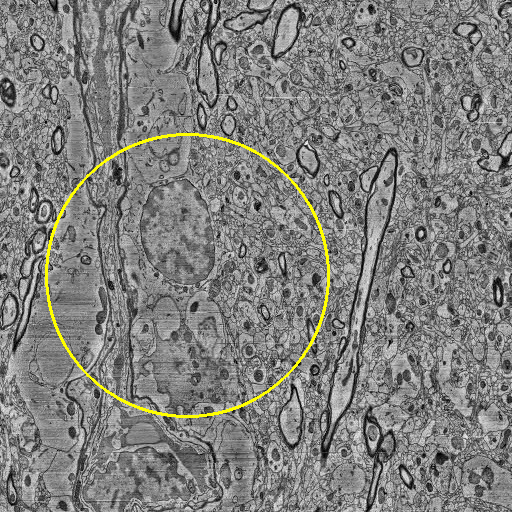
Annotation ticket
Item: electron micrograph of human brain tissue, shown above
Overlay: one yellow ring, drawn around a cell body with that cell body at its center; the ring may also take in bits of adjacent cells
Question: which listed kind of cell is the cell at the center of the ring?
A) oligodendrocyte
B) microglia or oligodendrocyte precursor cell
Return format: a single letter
B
